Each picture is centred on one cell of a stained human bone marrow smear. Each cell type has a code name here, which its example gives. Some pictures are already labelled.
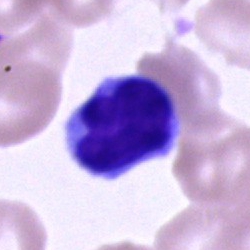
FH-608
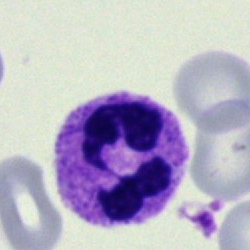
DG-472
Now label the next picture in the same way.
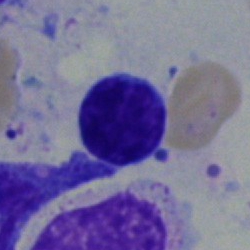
FH-608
